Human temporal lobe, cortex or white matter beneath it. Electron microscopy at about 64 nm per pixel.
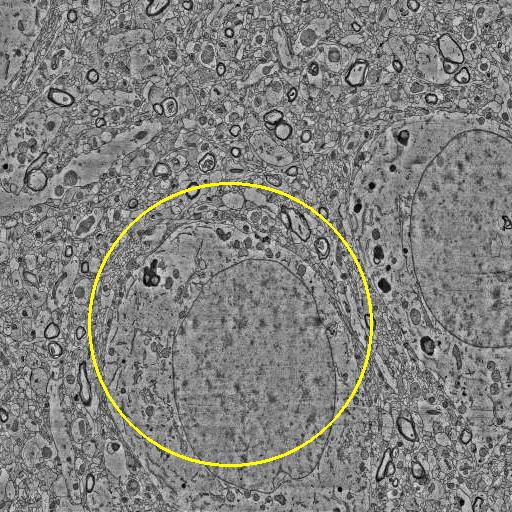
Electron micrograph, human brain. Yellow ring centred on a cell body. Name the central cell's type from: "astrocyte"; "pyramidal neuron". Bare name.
pyramidal neuron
